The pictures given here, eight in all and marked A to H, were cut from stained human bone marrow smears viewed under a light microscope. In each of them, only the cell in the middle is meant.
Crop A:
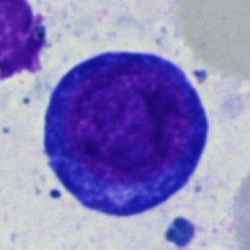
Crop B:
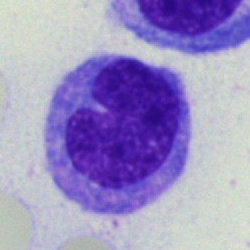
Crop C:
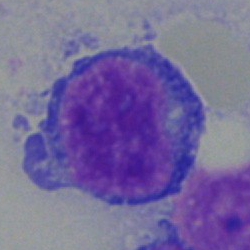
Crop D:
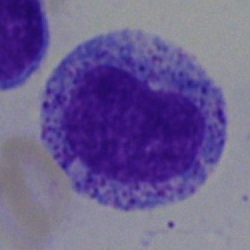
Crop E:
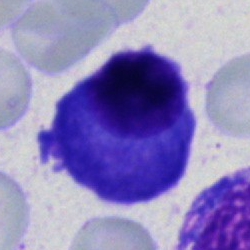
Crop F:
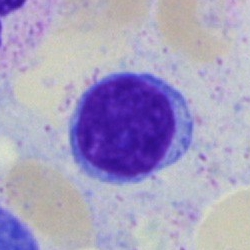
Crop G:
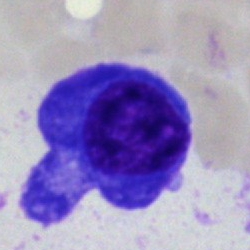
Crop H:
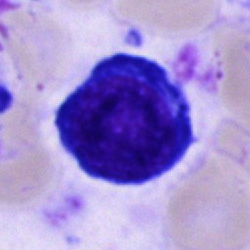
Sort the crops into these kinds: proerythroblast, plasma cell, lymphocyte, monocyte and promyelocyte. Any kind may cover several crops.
A: proerythroblast
B: monocyte
C: proerythroblast
D: promyelocyte
E: plasma cell
F: lymphocyte
G: plasma cell
H: proerythroblast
